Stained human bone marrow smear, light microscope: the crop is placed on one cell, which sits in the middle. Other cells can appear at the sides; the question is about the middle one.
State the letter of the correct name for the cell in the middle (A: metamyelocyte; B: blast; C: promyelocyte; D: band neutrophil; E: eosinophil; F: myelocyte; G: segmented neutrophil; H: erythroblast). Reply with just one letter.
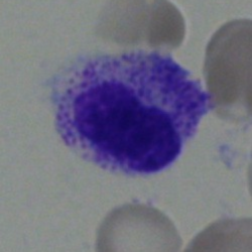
A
